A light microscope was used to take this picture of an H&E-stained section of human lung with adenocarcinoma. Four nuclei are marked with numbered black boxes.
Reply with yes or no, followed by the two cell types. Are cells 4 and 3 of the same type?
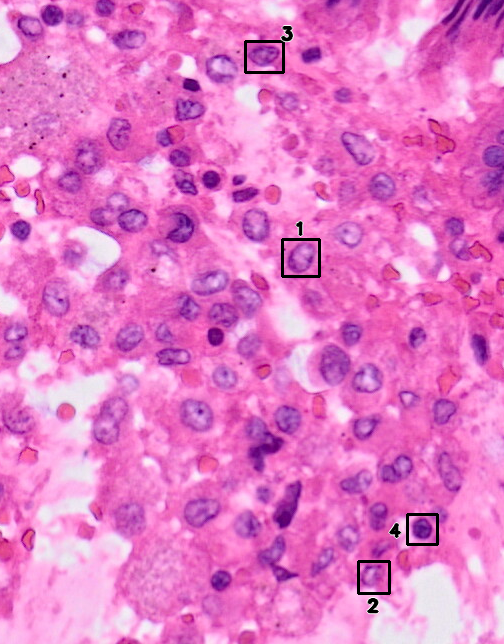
No, cell 4 is a lymphocyte, and cell 3 is a macrophage or monocyte.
